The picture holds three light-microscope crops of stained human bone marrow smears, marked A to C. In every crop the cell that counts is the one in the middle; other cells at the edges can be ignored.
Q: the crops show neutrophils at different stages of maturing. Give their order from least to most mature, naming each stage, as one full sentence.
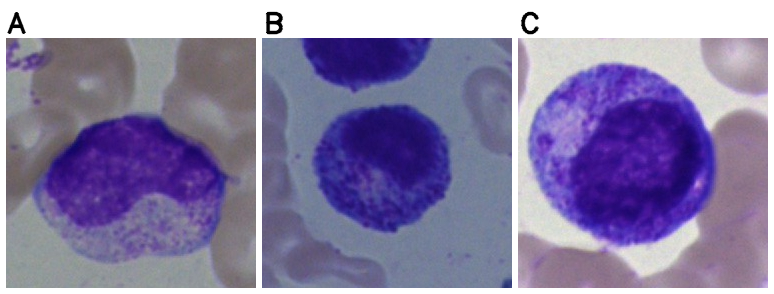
Counting from the least mature up to the most mature, the order is crop C (a promyelocyte), crop B (a myelocyte) and crop A (a metamyelocyte).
